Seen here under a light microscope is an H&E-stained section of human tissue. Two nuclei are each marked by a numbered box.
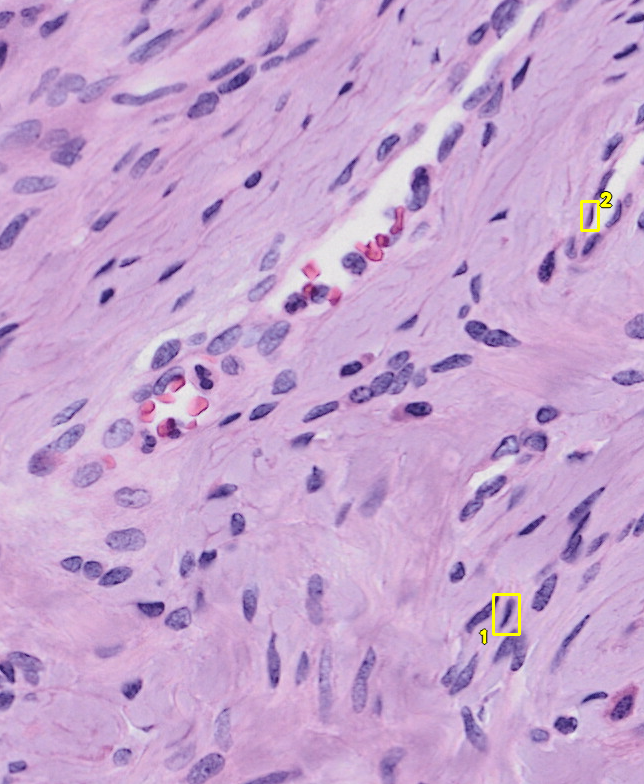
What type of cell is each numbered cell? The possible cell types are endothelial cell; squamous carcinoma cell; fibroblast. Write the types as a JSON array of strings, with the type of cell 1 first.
["fibroblast", "endothelial cell"]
